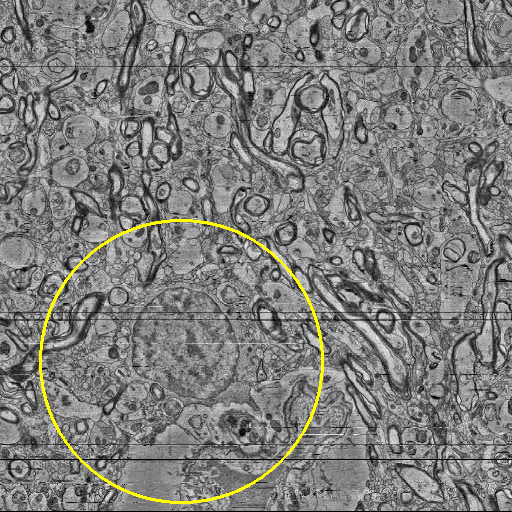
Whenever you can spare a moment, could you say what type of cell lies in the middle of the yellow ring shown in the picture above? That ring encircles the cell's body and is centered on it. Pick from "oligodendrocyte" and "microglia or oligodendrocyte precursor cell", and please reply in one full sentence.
The cell whose body sits at the middle of the yellow ring is an oligodendrocyte.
